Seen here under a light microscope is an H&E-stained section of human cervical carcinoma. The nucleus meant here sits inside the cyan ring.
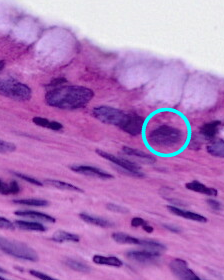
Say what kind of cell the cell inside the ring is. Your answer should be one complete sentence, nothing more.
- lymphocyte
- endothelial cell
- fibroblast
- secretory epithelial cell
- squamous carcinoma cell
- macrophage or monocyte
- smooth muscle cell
In the context of this tissue, the cell inside the ring is a secretory epithelial cell.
